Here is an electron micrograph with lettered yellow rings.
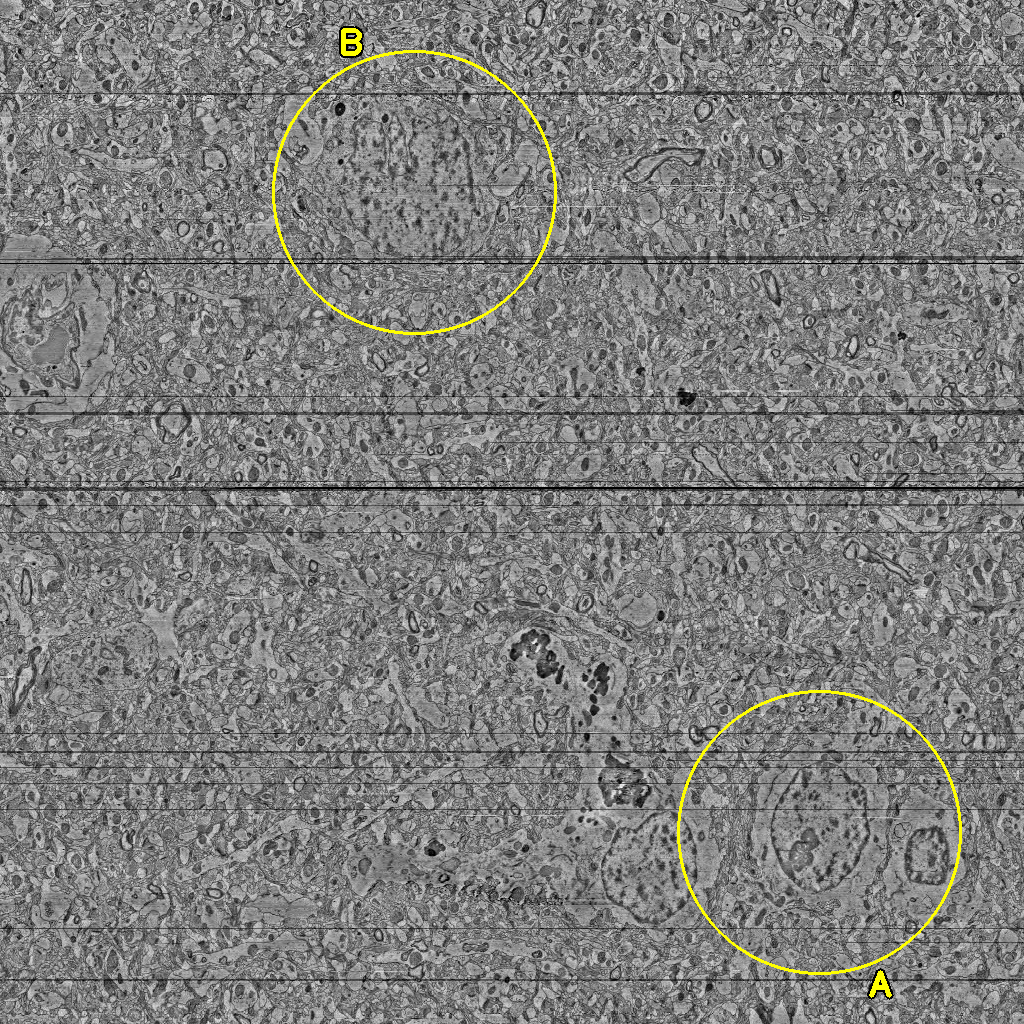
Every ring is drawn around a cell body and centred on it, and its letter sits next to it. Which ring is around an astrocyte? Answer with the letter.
A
